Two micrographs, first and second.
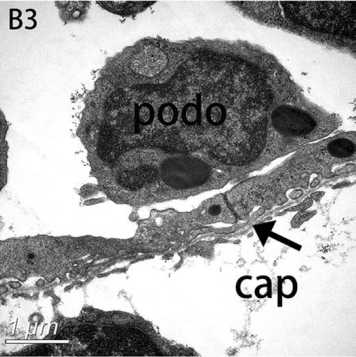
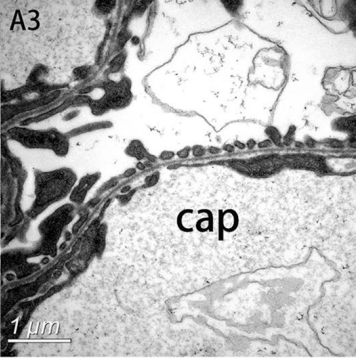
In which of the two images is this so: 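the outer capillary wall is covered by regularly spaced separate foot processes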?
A: The second image.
